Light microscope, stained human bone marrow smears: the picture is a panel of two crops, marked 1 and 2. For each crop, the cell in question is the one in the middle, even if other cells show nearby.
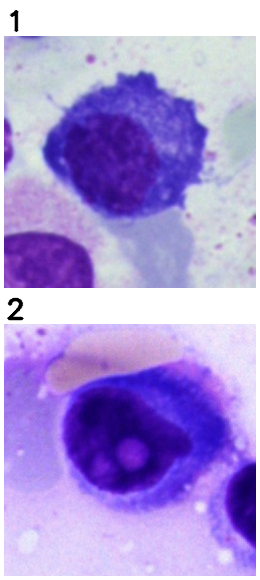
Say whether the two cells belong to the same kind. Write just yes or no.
yes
